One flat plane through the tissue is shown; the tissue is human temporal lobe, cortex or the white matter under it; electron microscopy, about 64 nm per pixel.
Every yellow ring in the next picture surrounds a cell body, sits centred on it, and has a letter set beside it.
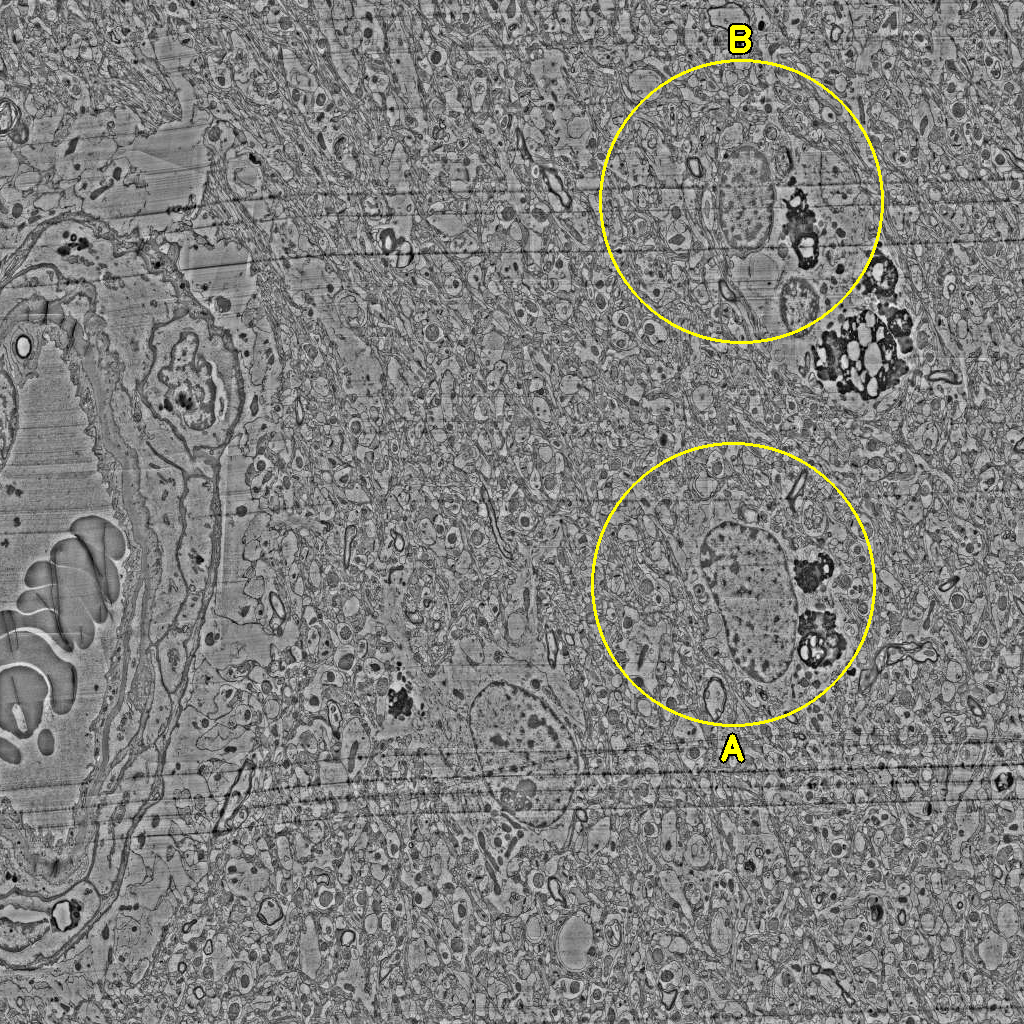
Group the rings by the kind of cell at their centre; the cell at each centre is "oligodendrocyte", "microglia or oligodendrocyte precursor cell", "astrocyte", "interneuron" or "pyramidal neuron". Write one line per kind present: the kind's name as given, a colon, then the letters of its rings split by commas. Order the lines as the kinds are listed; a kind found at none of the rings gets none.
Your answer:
oligodendrocyte: B
astrocyte: A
